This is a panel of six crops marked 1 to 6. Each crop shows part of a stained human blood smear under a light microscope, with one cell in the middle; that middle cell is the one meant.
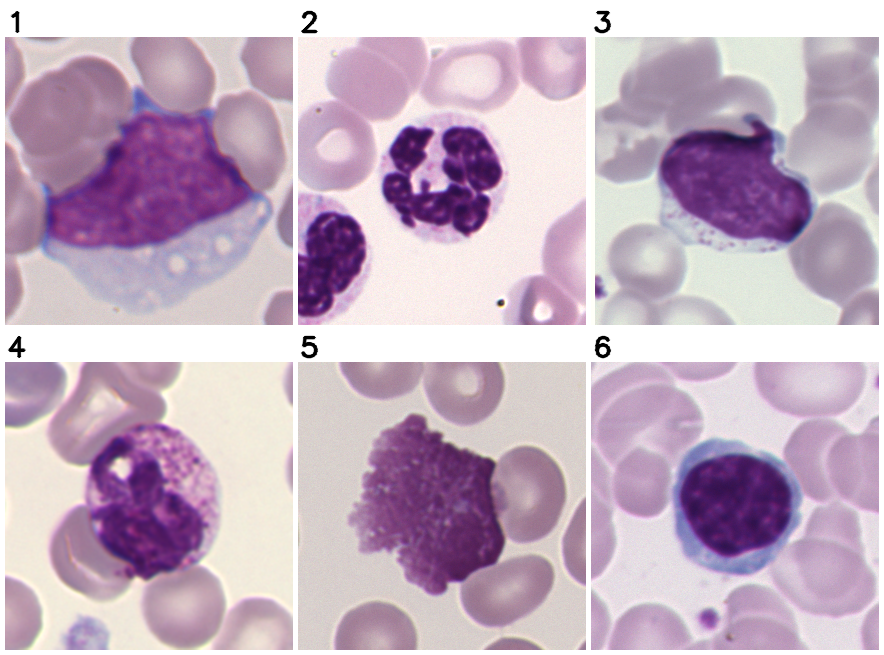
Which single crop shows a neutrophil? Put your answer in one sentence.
In this series, a neutrophil is shown by crop 2.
